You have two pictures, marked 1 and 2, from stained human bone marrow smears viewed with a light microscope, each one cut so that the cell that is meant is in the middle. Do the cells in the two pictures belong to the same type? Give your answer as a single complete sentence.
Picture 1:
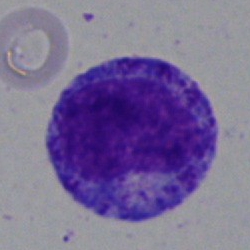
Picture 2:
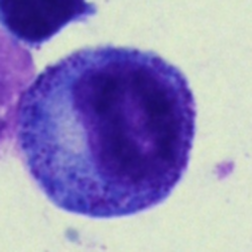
Yes, both cells are promyelocytes.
